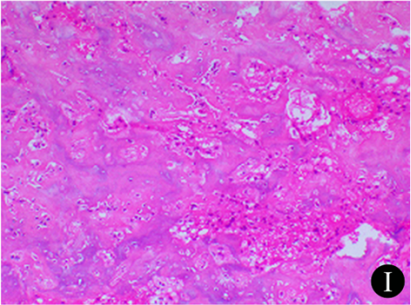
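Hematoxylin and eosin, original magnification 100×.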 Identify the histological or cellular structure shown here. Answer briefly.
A: Bone matrix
